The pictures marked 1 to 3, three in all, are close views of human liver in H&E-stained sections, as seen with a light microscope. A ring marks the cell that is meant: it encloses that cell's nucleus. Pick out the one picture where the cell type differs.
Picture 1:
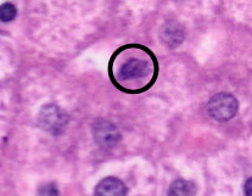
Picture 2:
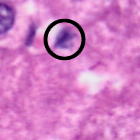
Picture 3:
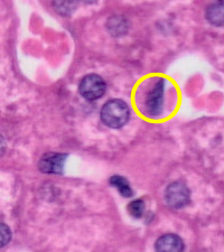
1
